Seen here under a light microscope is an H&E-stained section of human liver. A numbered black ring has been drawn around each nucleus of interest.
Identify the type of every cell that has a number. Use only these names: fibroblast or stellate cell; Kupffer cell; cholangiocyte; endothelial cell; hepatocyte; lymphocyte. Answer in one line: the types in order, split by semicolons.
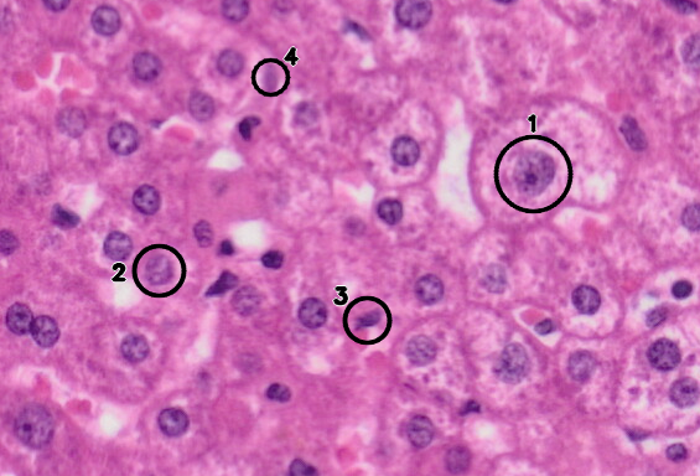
hepatocyte; hepatocyte; endothelial cell; Kupffer cell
